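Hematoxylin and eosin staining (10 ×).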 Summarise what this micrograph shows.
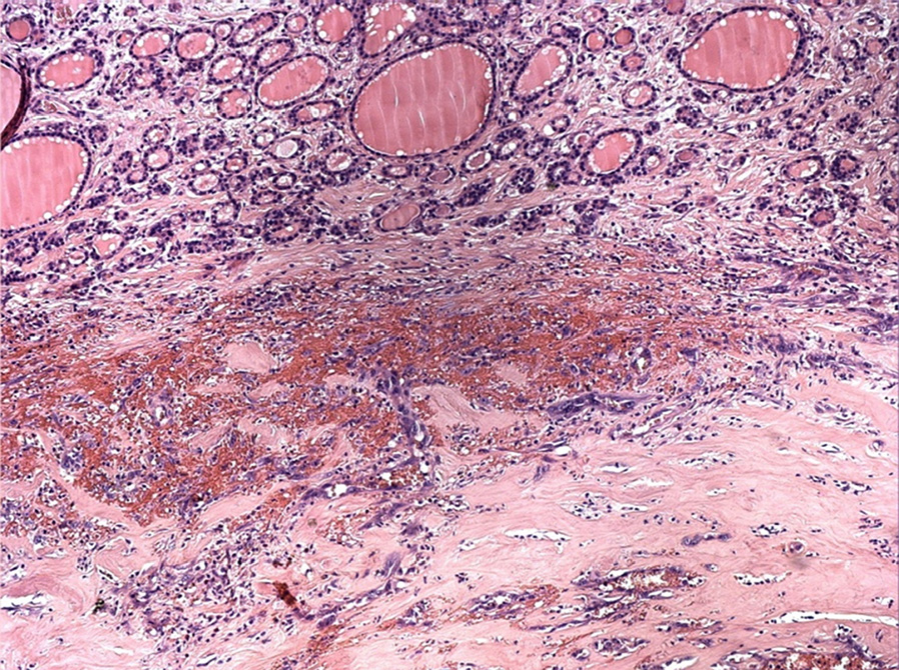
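This is thyroid tissue. Along the top lies a strip of intact gland: round follicles of many sizes, each filled with smooth pink colloid and lined by a single layer of small cells with dark round nuclei. Small clear bubbles sit where the colloid meets the lining. Below this strip the follicles disappear. A wide band of orange-red red blood cells lies loose in the tissue, out of the vessels, mixed with scattered dark nuclei. Below that the field is mostly pale pink, loose fibrous tissue with few intact cells.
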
